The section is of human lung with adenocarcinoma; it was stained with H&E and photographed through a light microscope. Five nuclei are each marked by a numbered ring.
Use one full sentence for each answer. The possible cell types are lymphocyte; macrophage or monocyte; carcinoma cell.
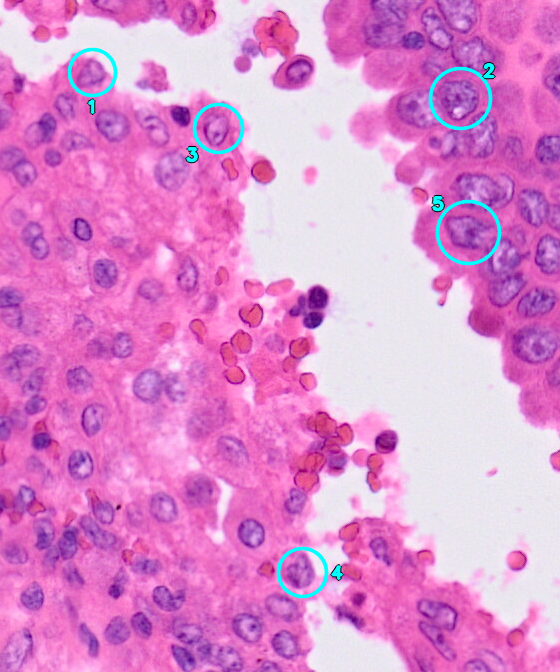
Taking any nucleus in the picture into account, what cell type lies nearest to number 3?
Number 3 lies closest to the nucleus of a lymphocyte.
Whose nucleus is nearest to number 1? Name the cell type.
The cell nearest to number 1 is a macrophage or monocyte.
